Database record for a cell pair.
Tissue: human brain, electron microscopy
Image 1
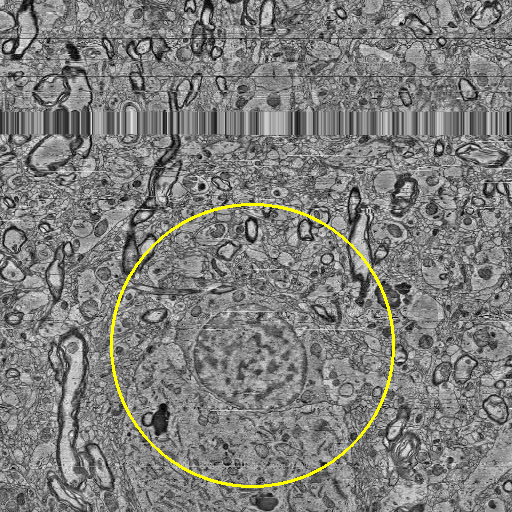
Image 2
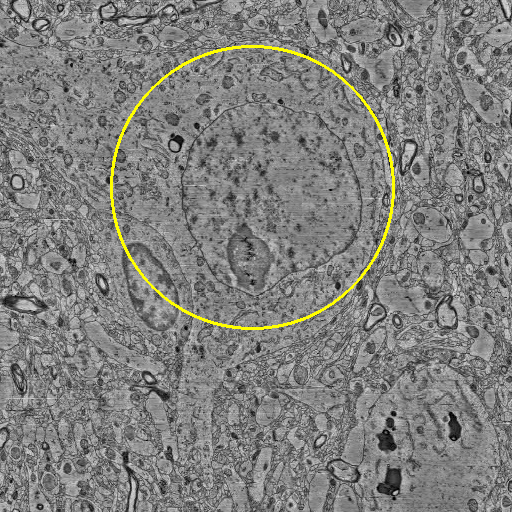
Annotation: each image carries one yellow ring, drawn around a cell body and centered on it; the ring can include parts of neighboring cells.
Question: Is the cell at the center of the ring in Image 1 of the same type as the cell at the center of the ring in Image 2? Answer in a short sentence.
No, the cells are of two types.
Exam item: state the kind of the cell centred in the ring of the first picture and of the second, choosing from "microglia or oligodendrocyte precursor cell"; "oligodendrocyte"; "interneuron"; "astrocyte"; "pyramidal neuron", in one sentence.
The first picture shows an oligodendrocyte at the ring centre and the second shows a pyramidal neuron.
